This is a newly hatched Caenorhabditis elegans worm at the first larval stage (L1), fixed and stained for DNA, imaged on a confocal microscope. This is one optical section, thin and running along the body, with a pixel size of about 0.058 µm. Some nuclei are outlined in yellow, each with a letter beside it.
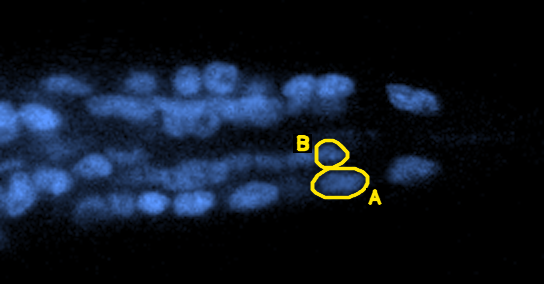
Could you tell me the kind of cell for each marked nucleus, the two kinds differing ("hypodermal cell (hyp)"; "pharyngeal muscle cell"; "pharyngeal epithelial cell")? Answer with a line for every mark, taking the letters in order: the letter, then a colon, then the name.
A: hypodermal cell (hyp)
B: pharyngeal epithelial cell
